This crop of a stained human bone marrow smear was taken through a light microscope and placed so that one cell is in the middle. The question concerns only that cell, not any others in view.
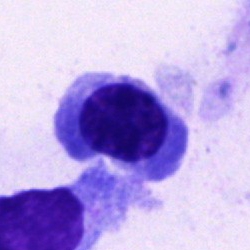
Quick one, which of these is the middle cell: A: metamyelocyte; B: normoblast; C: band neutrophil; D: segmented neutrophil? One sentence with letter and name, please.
With the cell in the middle being a normoblast, option B is the correct choice.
